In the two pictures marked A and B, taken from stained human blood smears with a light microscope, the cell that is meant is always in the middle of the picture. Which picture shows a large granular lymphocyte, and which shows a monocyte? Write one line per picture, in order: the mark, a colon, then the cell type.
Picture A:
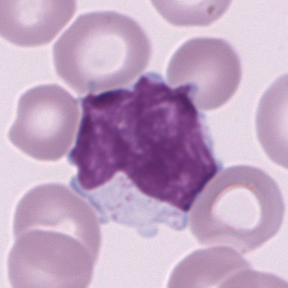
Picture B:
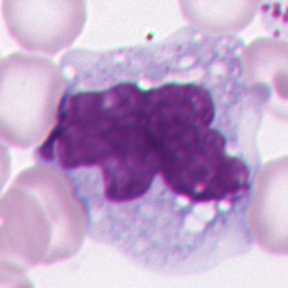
A: large granular lymphocyte
B: monocyte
